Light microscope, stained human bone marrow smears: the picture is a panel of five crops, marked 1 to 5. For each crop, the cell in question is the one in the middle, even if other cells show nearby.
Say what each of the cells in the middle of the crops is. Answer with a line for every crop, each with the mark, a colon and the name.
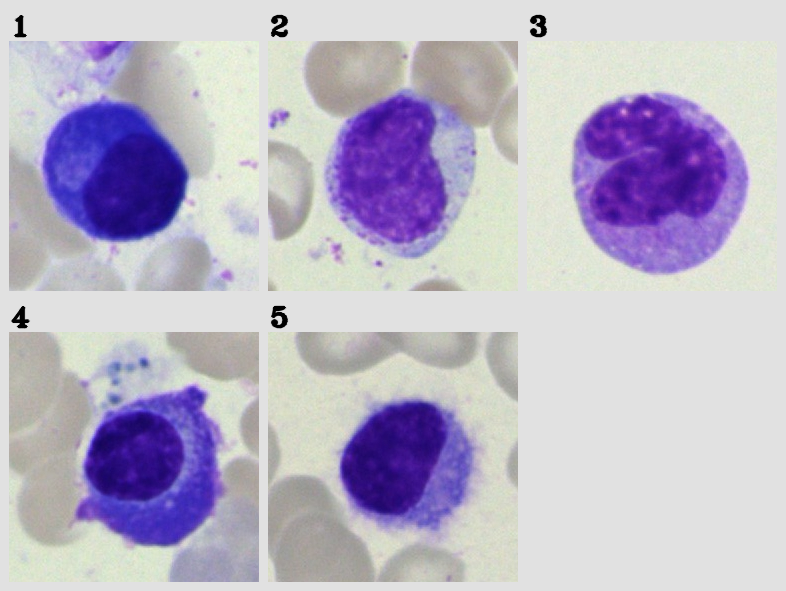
1: plasma cell
2: myelocyte
3: monocyte
4: plasma cell
5: hairy cell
